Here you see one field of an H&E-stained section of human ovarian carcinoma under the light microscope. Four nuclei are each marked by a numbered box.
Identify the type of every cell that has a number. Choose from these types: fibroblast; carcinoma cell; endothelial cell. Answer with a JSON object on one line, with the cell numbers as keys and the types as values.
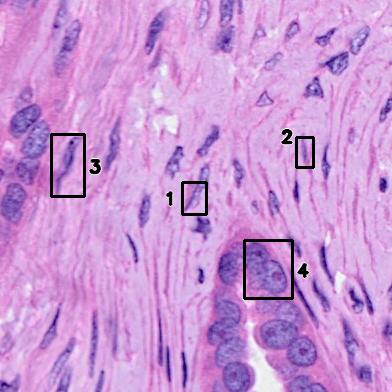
{"1": "fibroblast", "2": "fibroblast", "3": "fibroblast", "4": "carcinoma cell"}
